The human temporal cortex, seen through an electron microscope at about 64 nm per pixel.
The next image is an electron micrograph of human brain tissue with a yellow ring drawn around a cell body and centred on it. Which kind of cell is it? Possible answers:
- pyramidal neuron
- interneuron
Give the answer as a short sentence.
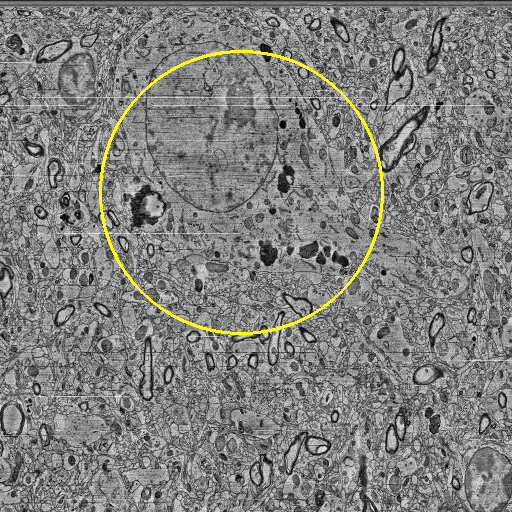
In the ring's centre is a pyramidal neuron.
